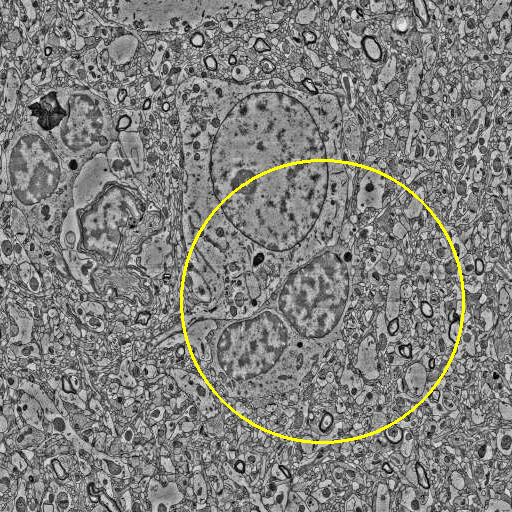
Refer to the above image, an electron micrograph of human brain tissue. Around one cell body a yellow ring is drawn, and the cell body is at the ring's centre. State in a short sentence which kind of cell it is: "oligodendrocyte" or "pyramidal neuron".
The centre of the ring falls on an oligodendrocyte.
